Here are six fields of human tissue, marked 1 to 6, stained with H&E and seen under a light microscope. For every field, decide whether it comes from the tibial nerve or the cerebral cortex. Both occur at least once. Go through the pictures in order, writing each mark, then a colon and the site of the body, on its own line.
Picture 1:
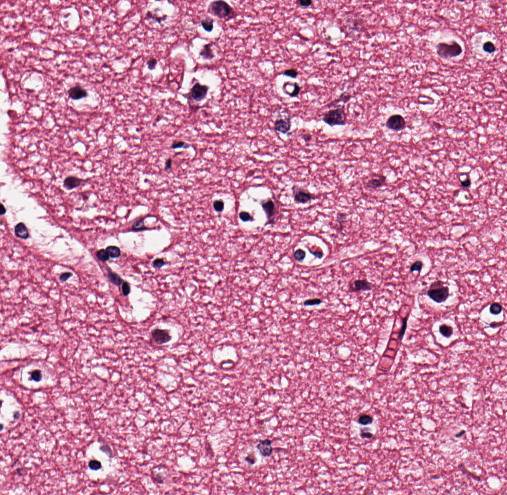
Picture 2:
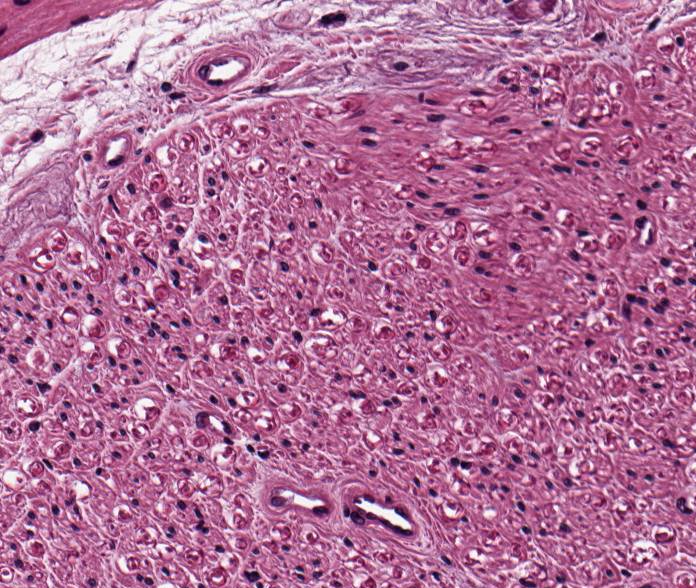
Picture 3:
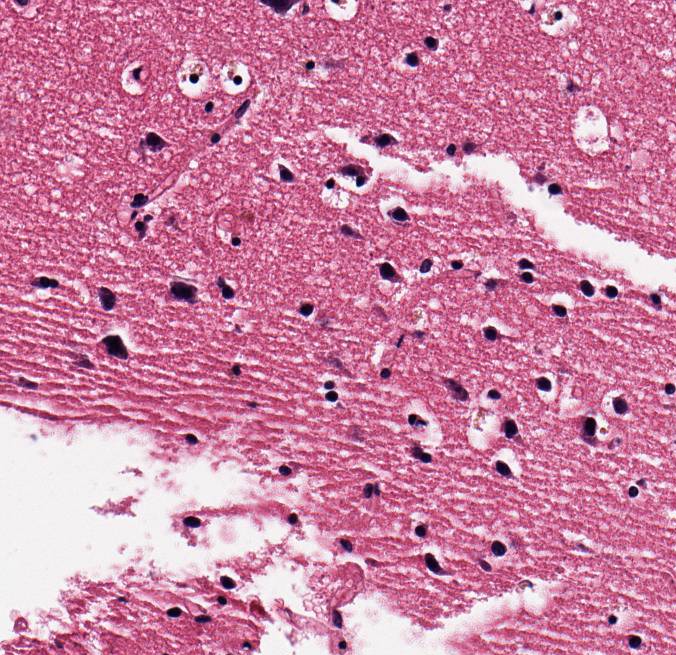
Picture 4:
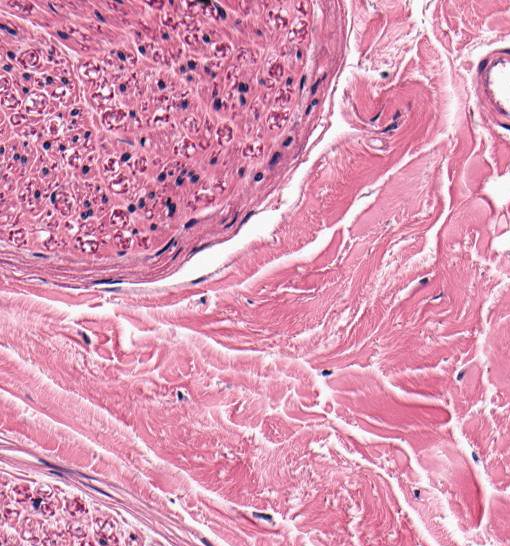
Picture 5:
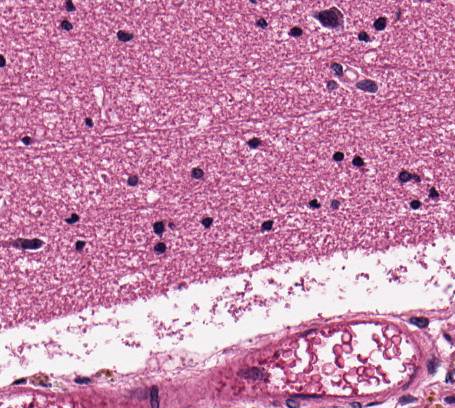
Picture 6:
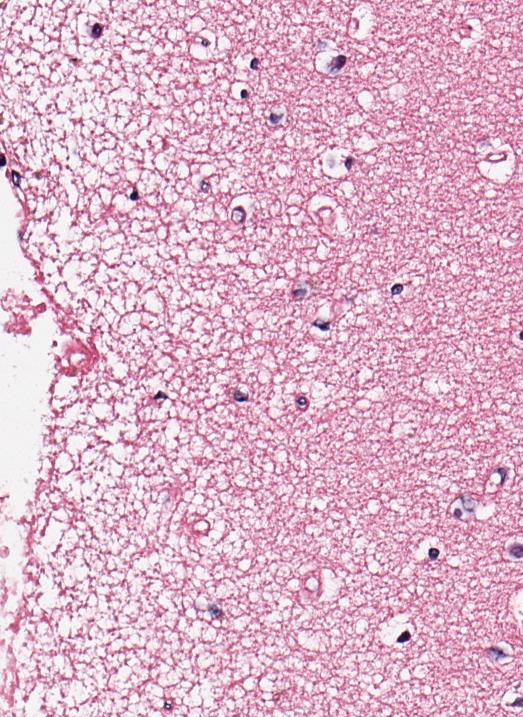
1: cerebral cortex
2: tibial nerve
3: cerebral cortex
4: tibial nerve
5: cerebral cortex
6: cerebral cortex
